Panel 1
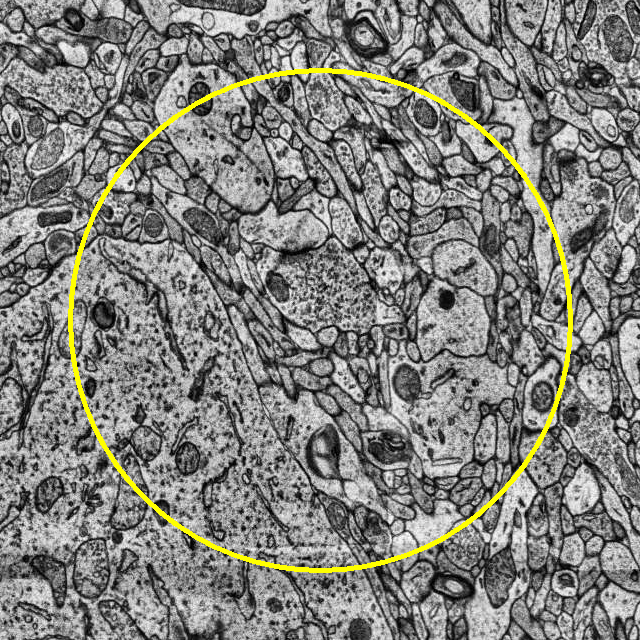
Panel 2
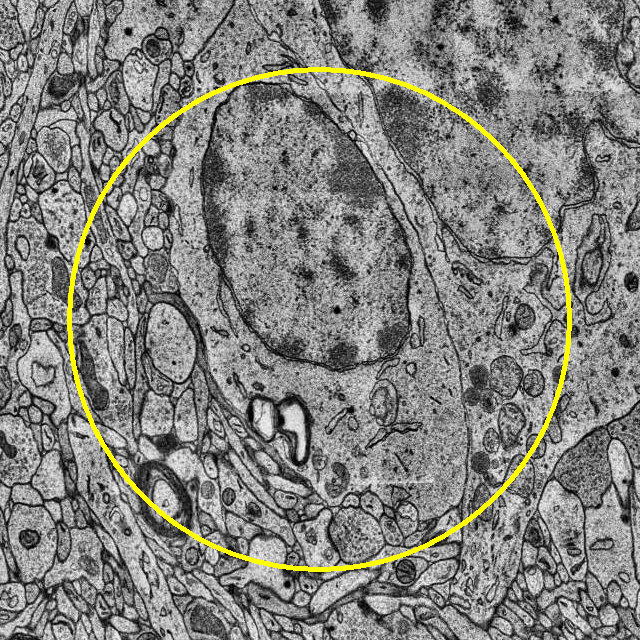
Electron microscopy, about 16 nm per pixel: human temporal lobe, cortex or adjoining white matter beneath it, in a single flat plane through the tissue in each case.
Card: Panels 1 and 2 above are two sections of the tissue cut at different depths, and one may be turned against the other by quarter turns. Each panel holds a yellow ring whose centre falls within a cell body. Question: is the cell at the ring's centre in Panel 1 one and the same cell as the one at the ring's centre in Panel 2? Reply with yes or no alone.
yes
